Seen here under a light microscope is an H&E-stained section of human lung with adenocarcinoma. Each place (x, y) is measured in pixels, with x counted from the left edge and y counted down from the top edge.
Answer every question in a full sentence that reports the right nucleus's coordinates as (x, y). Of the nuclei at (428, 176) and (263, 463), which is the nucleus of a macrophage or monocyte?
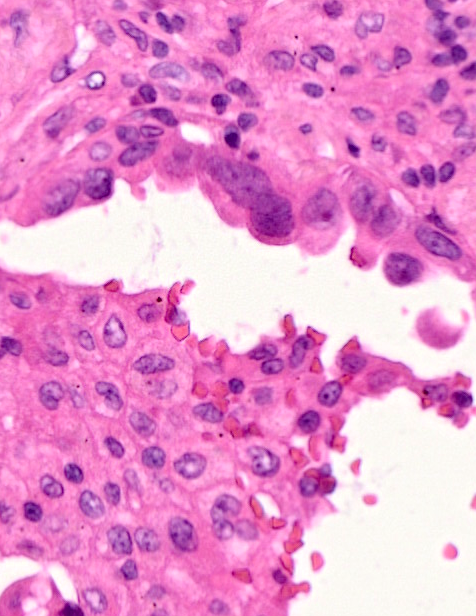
The nucleus at position (263, 463) belongs to a macrophage or monocyte.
